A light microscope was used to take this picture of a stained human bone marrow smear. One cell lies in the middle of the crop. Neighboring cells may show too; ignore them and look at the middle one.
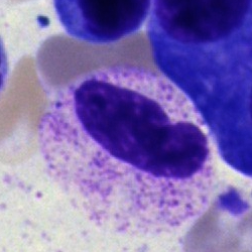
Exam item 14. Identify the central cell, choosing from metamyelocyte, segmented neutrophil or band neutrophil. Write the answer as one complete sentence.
At the middle of the frame sits a segmented neutrophil.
